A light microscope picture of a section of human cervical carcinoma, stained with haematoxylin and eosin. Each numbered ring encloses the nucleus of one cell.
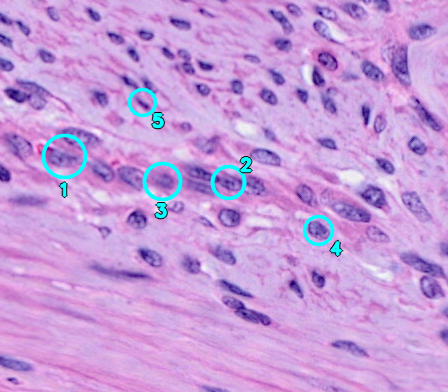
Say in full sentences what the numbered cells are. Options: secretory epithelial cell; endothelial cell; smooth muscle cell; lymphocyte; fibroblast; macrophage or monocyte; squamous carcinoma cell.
Cell 1 is an endothelial cell, cell 2 is an endothelial cell, cell 3 is an endothelial cell, cell 4 is a smooth muscle cell and cell 5 is a smooth muscle cell.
